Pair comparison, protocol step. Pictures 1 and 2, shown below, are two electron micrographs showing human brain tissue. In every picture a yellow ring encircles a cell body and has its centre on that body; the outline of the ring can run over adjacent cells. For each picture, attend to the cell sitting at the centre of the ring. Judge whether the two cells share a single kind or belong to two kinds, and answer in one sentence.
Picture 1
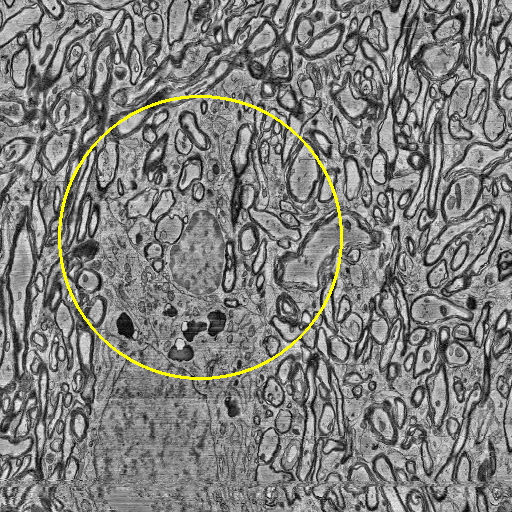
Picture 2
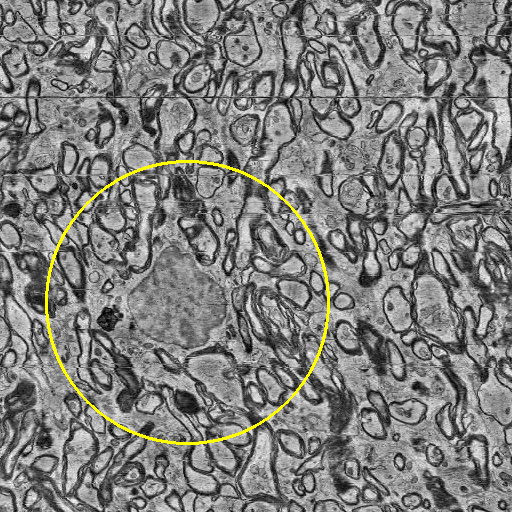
The two cells at the ring centres in Picture 1 and Picture 2 belong to two kinds.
